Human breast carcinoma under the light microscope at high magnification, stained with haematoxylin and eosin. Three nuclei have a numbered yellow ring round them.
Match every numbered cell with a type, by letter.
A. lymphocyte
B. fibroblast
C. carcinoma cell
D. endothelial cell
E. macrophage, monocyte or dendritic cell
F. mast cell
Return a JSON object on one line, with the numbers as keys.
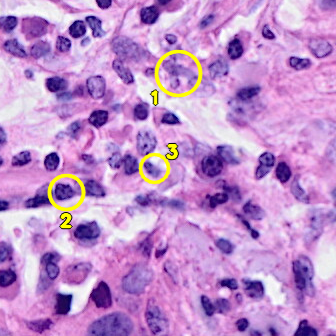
{"1": "E", "2": "A", "3": "A"}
